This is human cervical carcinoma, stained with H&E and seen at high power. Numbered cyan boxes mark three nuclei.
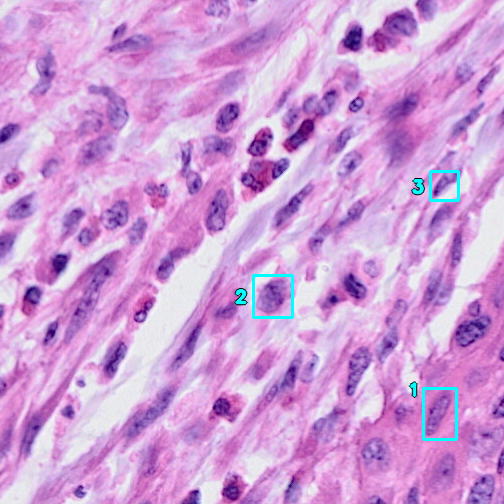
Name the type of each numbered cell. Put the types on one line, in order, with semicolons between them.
squamous carcinoma cell; macrophage or monocyte; fibroblast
